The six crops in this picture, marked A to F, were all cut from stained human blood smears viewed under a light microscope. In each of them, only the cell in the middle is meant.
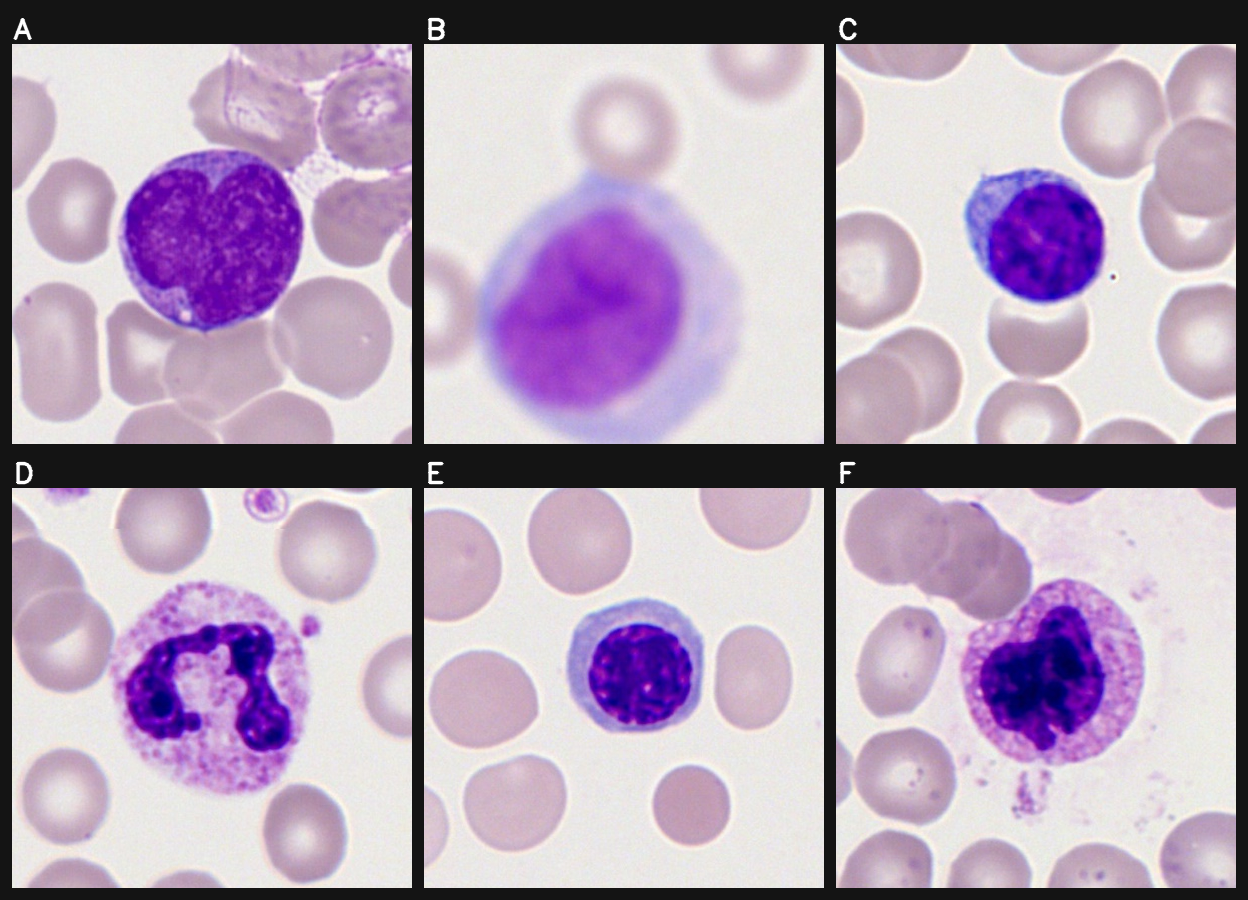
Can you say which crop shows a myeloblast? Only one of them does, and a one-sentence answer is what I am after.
Of the crops given, a myeloblast is found in crop A.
